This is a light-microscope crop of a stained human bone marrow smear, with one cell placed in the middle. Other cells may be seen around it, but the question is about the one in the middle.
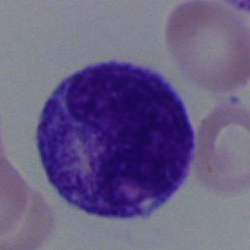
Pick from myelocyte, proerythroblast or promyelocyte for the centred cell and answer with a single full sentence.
As for the central cell, it is a promyelocyte.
